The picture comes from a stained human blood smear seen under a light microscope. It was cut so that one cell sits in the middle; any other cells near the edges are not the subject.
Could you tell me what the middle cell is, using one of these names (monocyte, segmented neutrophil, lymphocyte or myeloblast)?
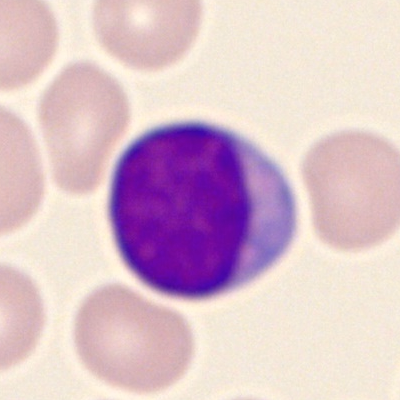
myeloblast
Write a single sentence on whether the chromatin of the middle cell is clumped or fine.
This nucleus has coarsely clumped chromatin.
